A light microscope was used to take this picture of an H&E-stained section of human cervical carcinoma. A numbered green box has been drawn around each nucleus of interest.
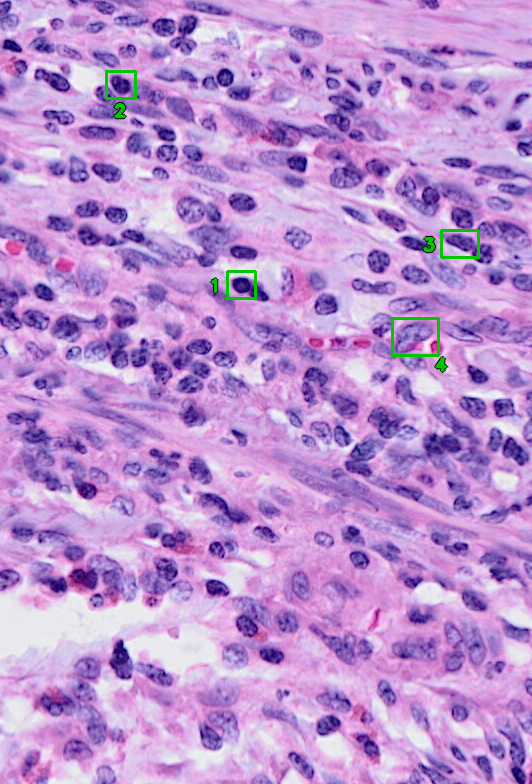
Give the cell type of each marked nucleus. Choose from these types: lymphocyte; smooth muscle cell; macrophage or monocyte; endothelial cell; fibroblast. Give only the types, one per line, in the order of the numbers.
lymphocyte
lymphocyte
lymphocyte
endothelial cell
